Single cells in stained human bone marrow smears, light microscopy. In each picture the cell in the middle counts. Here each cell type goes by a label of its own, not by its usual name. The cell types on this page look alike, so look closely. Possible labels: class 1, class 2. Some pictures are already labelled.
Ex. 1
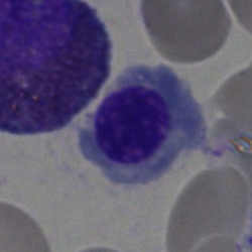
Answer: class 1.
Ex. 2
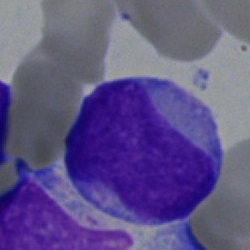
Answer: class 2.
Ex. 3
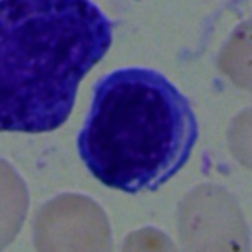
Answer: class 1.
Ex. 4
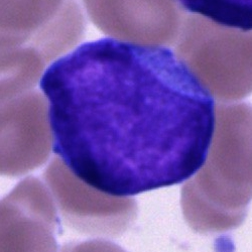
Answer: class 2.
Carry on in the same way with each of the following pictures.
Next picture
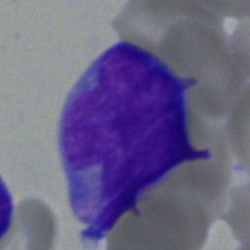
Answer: class 2.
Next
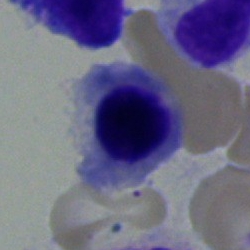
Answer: class 1.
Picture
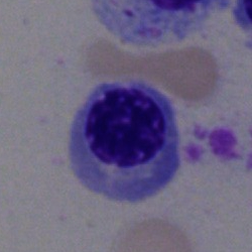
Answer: class 1.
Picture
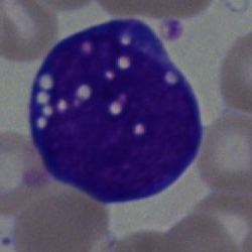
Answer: class 2.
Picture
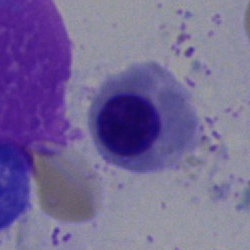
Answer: class 1.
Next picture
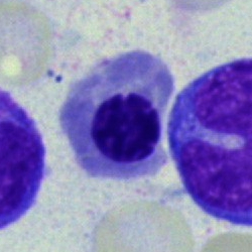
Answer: class 1.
